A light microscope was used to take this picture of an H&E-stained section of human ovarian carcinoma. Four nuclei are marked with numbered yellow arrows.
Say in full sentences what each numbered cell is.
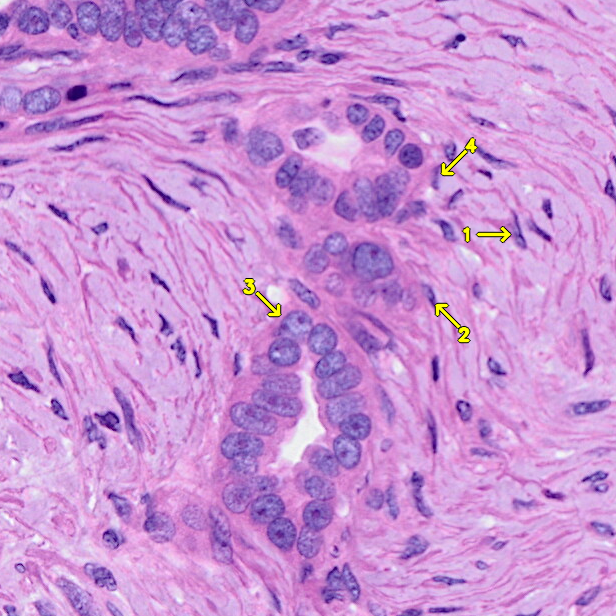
Cell 1 is a fibroblast, cell 2 is a fibroblast, cell 3 is a carcinoma cell and cell 4 is a fibroblast.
